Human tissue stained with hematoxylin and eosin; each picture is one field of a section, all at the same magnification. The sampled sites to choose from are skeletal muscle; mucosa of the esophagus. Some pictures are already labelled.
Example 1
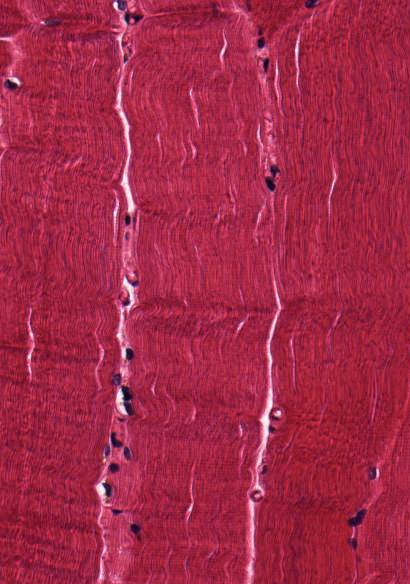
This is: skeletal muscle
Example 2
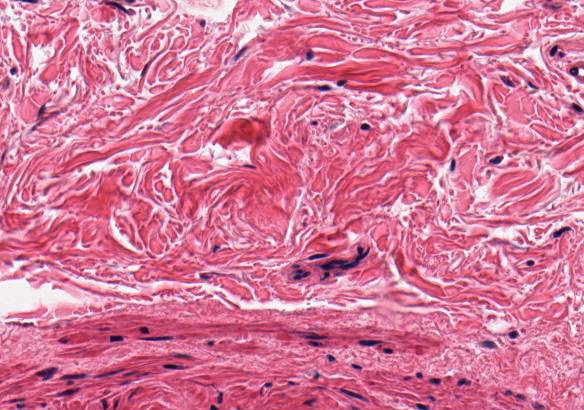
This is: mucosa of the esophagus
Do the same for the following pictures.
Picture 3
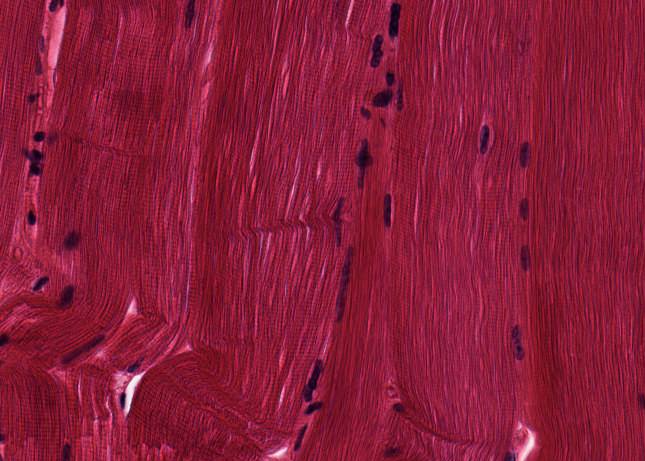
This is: skeletal muscle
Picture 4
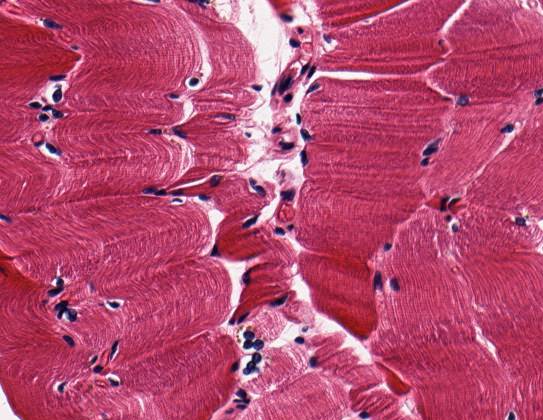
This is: skeletal muscle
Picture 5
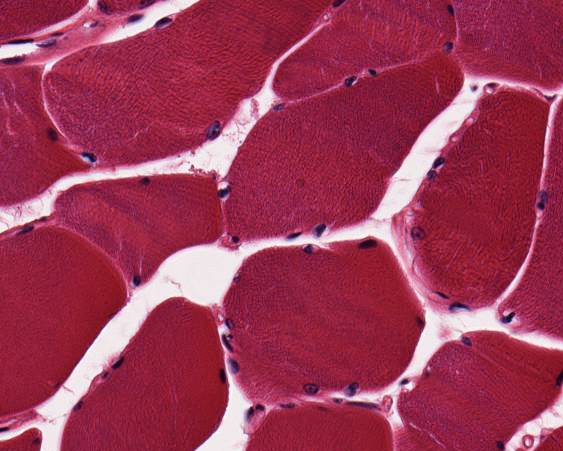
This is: skeletal muscle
